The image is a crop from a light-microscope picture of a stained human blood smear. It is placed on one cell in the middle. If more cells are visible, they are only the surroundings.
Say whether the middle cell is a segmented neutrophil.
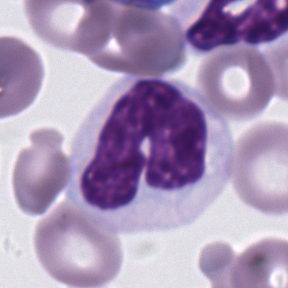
no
